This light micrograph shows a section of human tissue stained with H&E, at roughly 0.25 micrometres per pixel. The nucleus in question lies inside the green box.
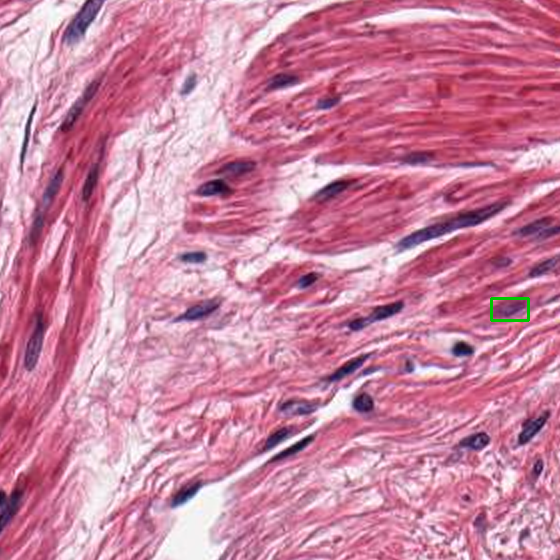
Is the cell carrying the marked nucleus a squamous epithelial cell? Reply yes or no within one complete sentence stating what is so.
No, it is not a squamous epithelial cell to which the marked nucleus belongs.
